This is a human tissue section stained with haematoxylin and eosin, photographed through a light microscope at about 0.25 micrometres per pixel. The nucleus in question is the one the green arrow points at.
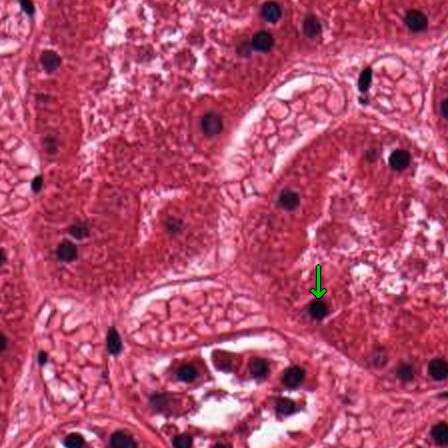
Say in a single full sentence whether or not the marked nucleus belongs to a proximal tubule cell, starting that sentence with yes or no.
Yes, the nucleus that carries the mark belongs to a proximal tubule cell.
